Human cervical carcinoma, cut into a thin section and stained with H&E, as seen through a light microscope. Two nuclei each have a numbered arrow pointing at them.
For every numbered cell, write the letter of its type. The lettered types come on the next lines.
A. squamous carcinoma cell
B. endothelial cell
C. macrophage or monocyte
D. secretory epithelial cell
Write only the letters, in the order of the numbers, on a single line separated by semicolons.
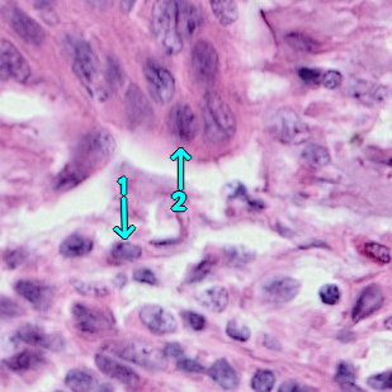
C; A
